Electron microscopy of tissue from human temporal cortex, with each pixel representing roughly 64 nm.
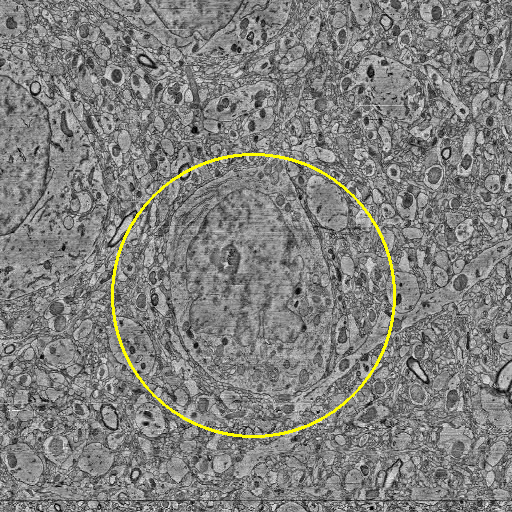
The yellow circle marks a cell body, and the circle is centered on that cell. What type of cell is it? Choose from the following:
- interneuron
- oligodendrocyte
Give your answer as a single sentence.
This cell body belongs to an interneuron.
